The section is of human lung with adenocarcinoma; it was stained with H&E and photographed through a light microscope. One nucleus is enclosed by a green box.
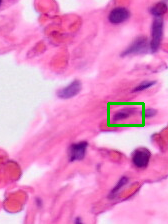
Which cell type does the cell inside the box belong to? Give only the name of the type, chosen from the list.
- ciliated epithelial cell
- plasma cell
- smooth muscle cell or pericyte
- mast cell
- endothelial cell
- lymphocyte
endothelial cell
